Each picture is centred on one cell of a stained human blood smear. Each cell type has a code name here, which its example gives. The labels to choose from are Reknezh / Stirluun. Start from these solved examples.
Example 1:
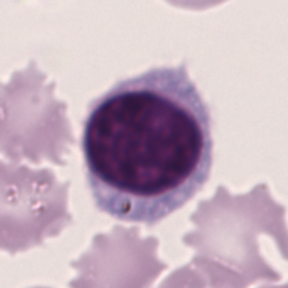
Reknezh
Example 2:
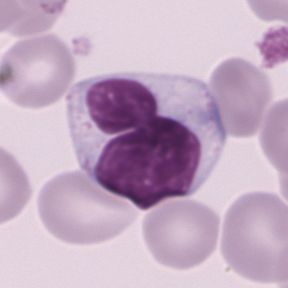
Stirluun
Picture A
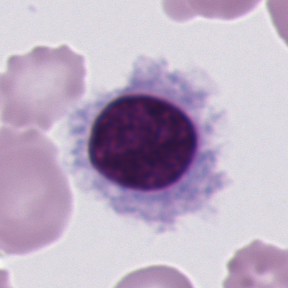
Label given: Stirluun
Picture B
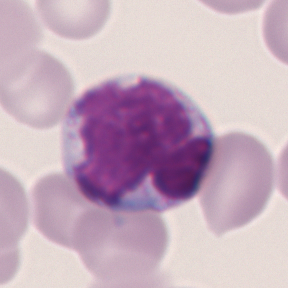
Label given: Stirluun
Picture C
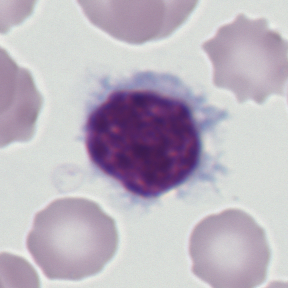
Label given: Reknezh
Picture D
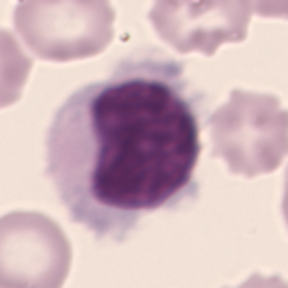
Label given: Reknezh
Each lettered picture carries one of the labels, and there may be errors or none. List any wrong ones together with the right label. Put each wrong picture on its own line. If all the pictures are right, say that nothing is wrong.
A should be Reknezh, not Stirluun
